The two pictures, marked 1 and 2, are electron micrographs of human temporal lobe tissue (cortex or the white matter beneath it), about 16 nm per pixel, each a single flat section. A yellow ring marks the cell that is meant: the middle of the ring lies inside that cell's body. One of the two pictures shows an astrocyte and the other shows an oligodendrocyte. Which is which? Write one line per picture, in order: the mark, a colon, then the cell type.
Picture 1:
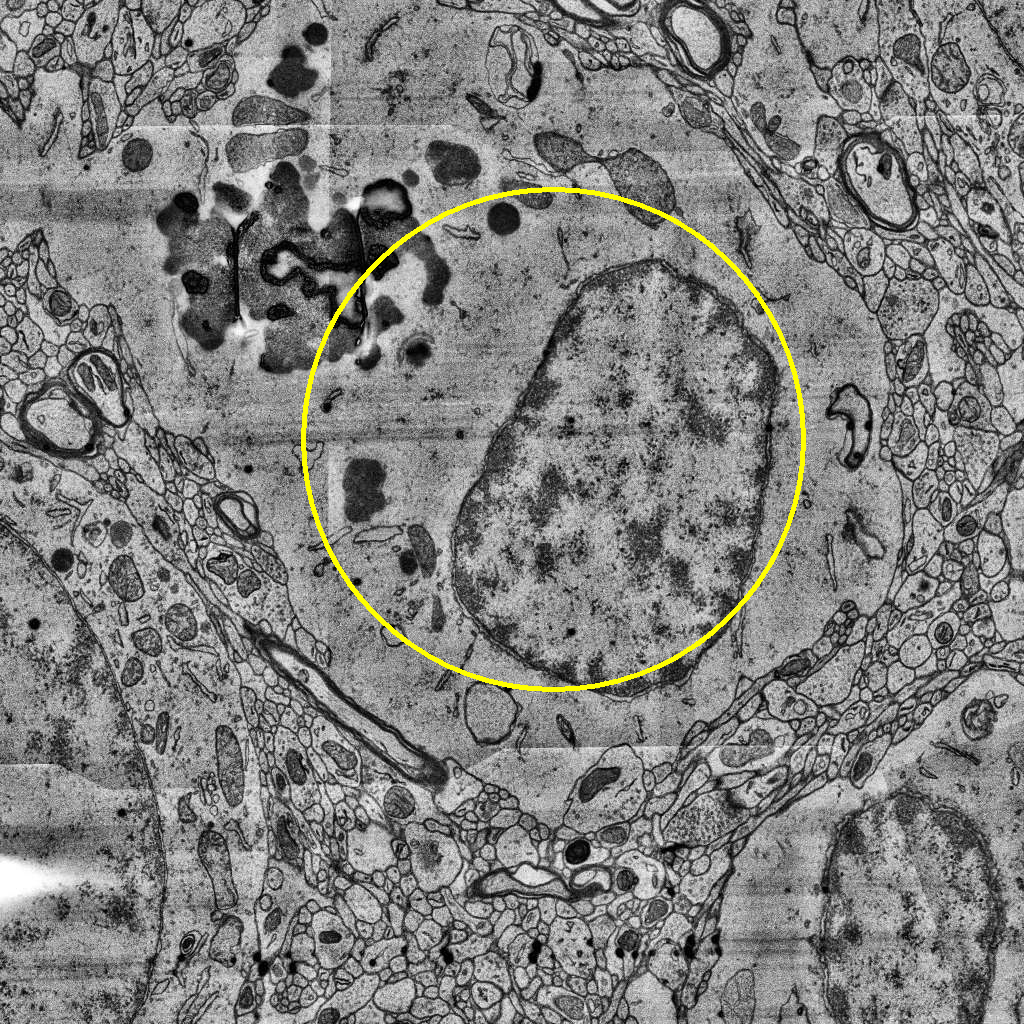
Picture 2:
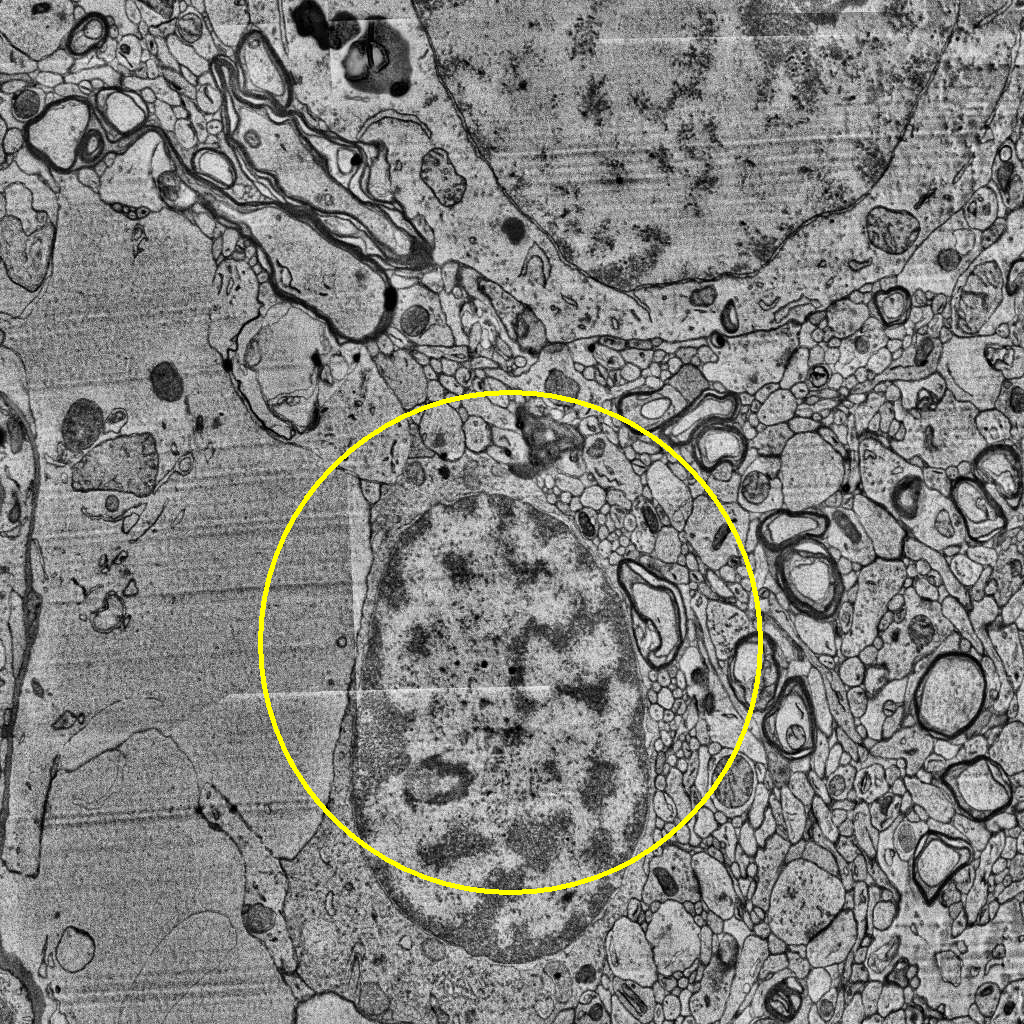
1: astrocyte
2: oligodendrocyte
